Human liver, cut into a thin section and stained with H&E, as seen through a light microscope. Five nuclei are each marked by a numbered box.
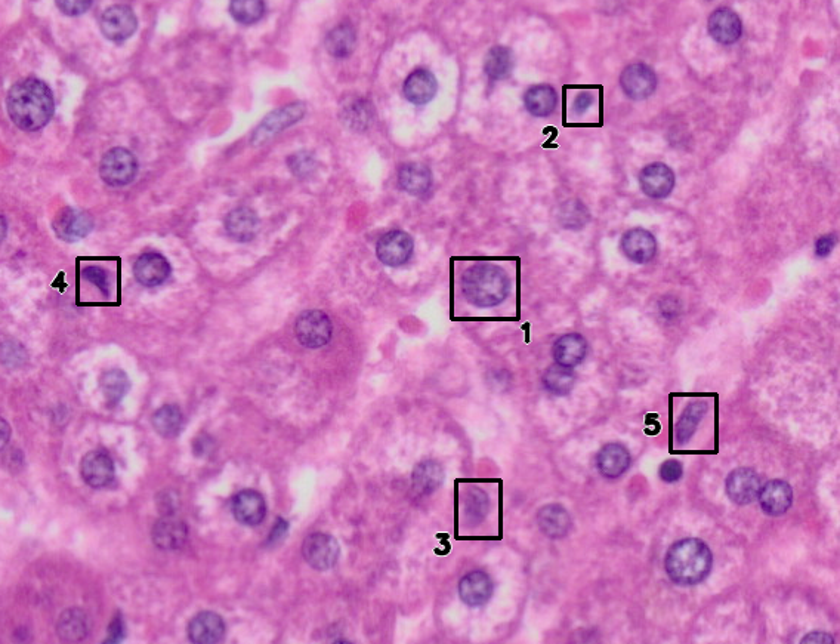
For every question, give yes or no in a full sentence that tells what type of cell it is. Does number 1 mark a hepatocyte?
Yes, and to answer plainly, cell 1 is a hepatocyte.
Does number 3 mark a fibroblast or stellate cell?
No, cell 3 is to be read as an endothelial cell, not a fibroblast or stellate cell.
